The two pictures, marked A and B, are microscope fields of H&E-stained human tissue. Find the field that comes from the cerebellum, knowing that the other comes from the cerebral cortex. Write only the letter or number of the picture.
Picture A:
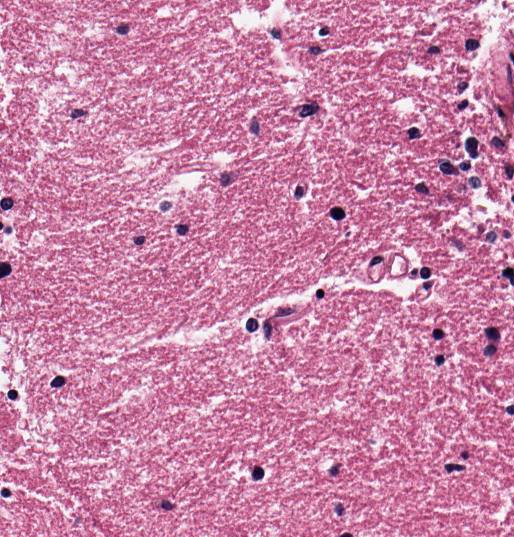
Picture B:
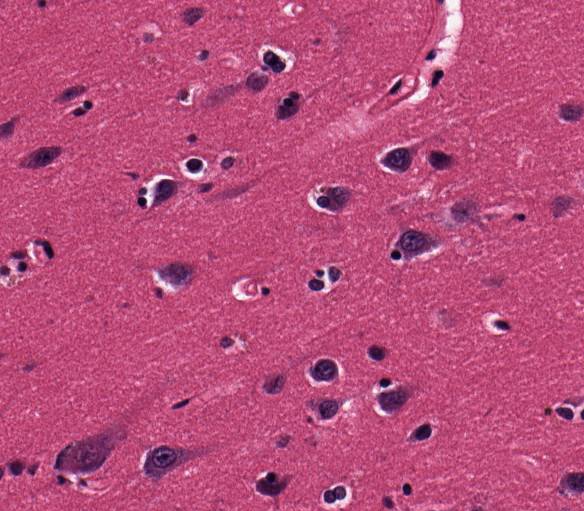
A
